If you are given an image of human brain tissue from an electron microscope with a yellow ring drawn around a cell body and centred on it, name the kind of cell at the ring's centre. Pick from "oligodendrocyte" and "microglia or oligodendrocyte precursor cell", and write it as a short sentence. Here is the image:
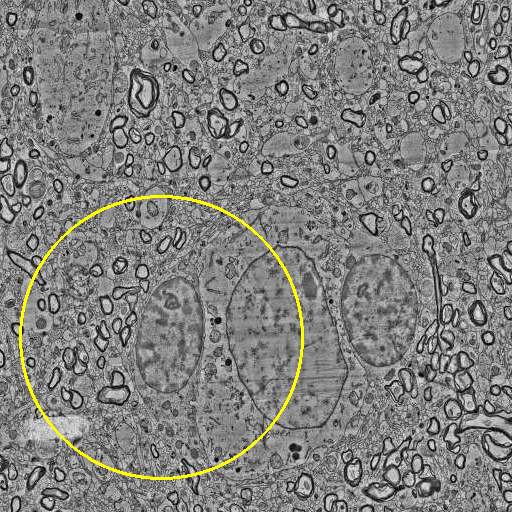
The cell at the ring's centre is an oligodendrocyte.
